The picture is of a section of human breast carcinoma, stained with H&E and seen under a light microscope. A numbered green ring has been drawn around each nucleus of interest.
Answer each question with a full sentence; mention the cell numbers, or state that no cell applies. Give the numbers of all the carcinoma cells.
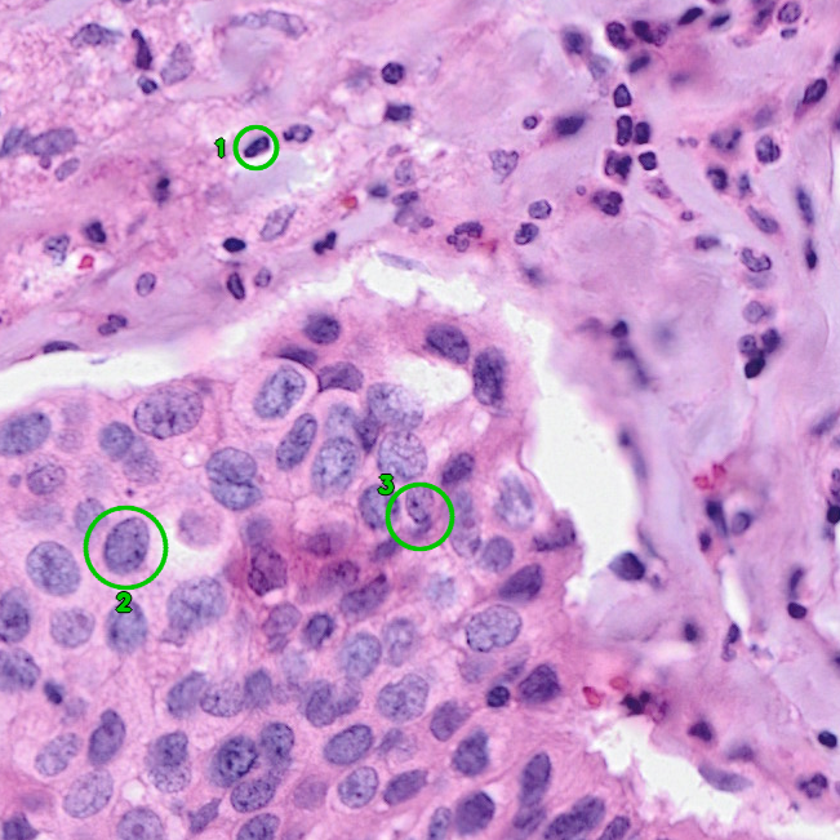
The cells referred to by numbers 2 and 3 are carcinoma cells.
